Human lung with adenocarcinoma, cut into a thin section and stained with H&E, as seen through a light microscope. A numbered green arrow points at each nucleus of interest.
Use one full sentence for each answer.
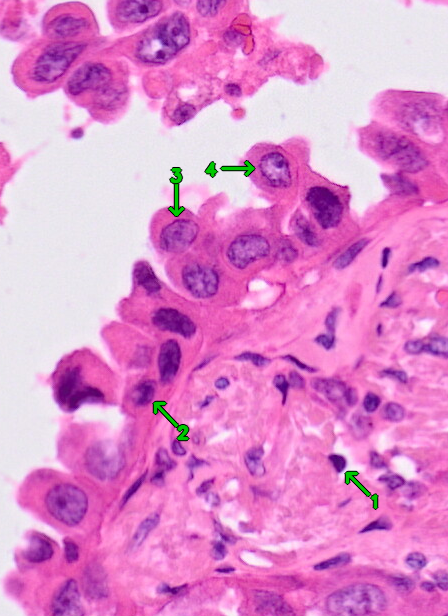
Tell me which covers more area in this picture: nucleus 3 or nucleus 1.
Nucleus 3 covers more area, about 4 times as much as nucleus 1.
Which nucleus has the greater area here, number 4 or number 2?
Number 4 is larger; its area is about 3 times that of number 2.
